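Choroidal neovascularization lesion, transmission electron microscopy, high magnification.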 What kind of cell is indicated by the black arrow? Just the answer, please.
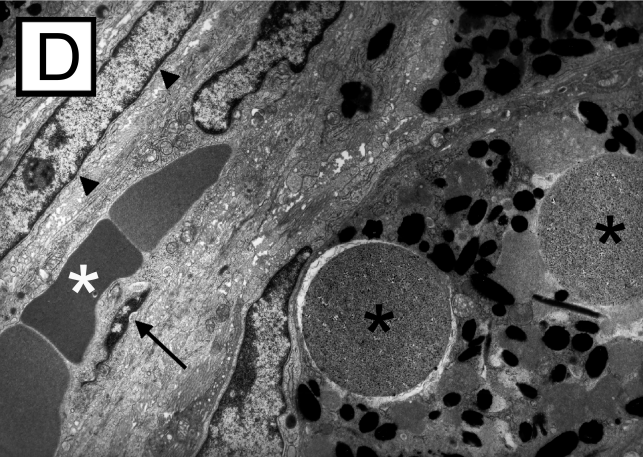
Endothelial cells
